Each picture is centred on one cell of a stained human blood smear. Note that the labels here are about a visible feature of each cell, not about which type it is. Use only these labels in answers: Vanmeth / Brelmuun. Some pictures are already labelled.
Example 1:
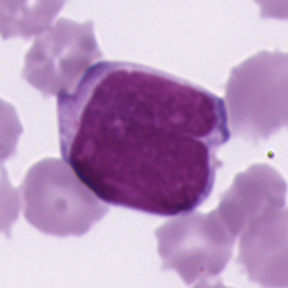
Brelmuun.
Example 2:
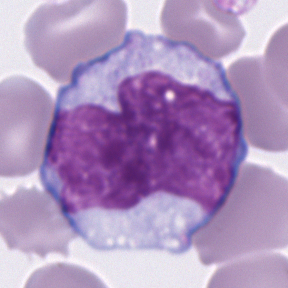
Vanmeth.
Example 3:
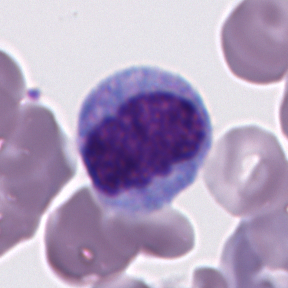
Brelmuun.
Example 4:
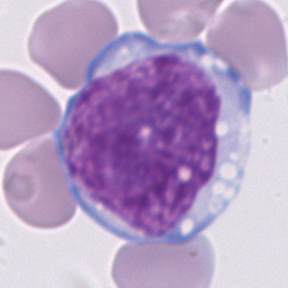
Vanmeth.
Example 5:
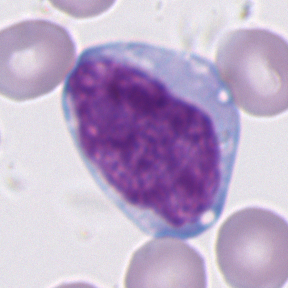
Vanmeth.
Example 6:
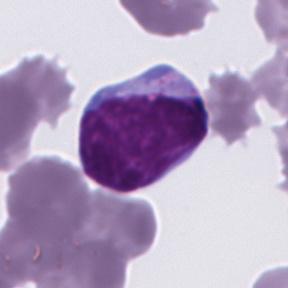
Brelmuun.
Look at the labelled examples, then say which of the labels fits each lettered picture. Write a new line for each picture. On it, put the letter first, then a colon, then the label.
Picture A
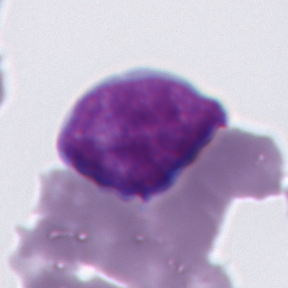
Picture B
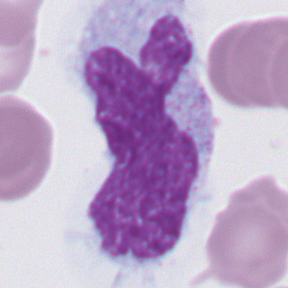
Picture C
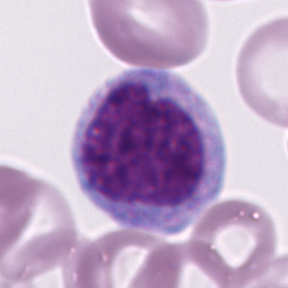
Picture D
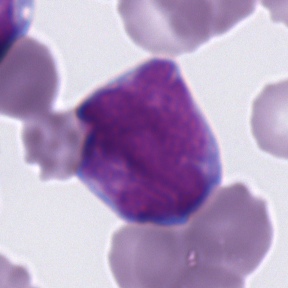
A: Brelmuun.
B: Brelmuun.
C: Brelmuun.
D: Brelmuun.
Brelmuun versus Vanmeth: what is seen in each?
Brelmuun: no vacuoles; Vanmeth: vacuoles present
